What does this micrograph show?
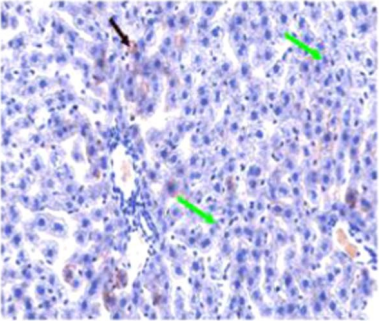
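This is liver tissue with cords of hepatocytes, their round blue nuclei set in pale cytoplasm. Near the centre a small vessel is surrounded by a cluster of darker blue, densely packed nuclei. The cords look somewhat disarrayed, with irregular pale spaces between cells.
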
